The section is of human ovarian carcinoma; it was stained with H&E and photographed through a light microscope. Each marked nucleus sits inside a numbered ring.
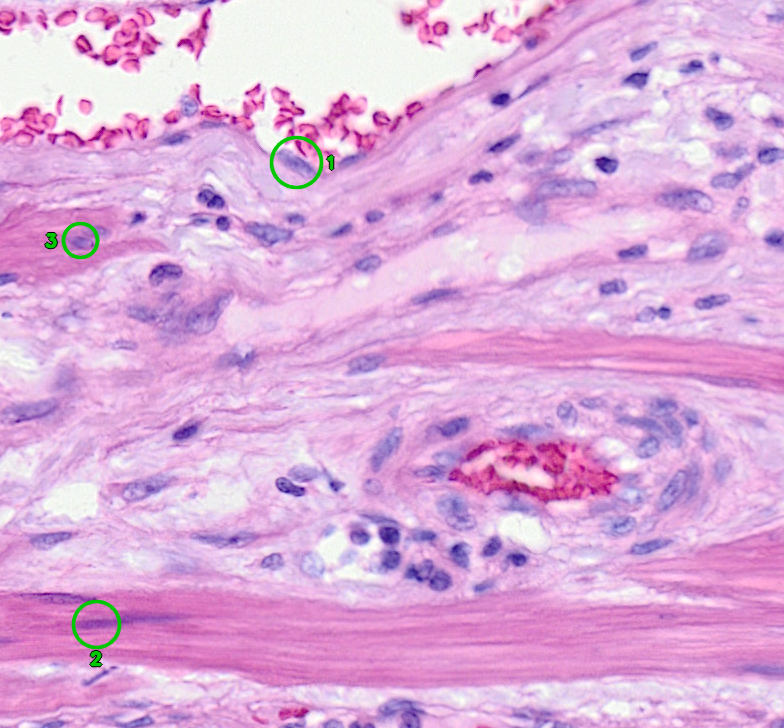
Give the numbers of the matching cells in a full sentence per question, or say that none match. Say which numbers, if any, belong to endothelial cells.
Whereas cell 1 is an endothelial cell, the other numbered cells are not.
